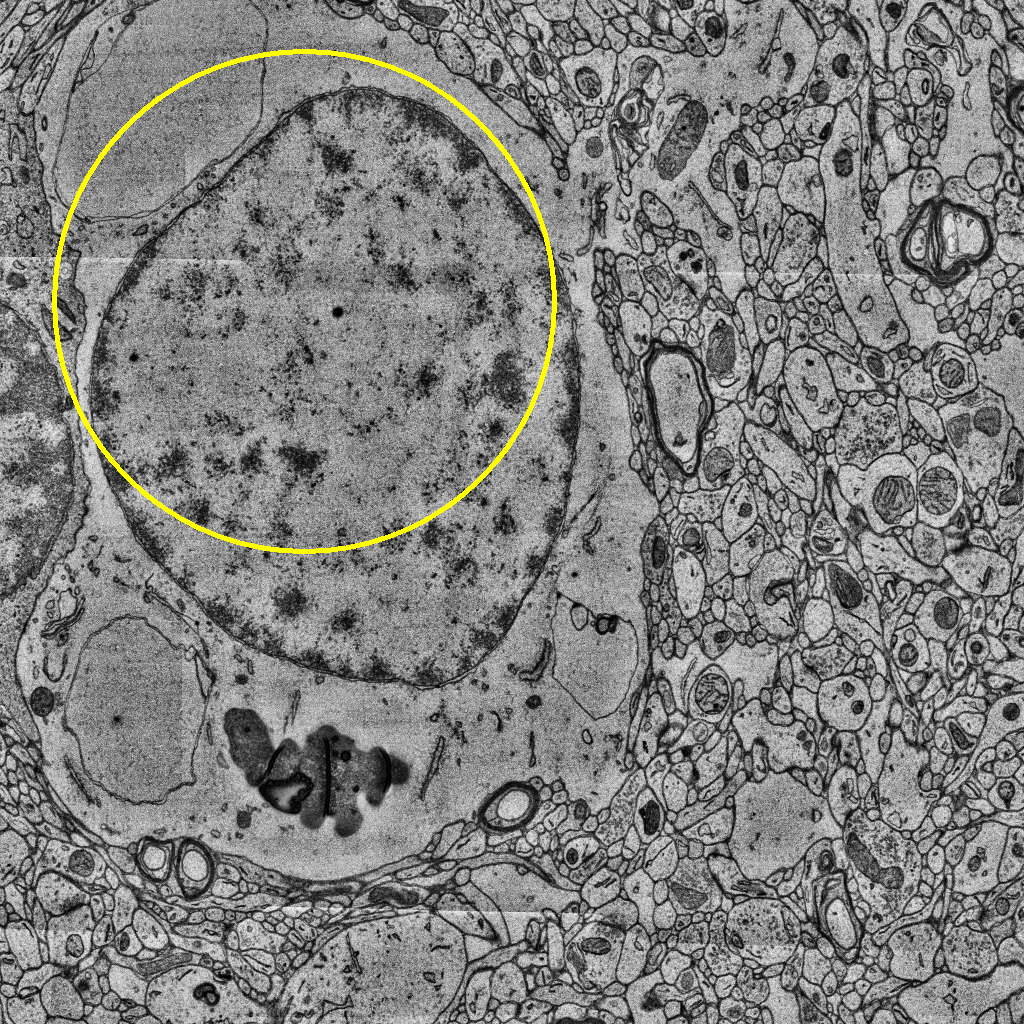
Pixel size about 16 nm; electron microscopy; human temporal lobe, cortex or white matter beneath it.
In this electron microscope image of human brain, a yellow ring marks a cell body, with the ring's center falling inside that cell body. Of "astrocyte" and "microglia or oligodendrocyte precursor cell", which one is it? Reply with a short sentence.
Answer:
It is an astrocyte at the center of the ring.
